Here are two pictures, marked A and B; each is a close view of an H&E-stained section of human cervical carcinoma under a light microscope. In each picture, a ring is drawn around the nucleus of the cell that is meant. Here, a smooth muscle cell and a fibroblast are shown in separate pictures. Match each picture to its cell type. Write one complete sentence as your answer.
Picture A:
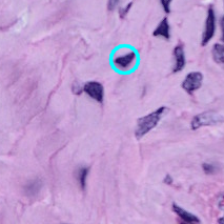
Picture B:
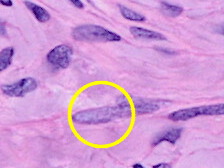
Picture A shows a fibroblast and picture B shows a smooth muscle cell.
